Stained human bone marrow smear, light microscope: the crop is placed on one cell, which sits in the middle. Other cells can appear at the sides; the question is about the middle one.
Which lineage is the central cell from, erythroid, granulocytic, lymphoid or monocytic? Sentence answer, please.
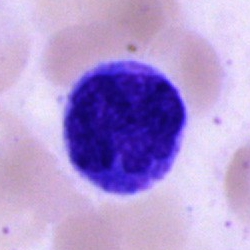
For the cell at the center, the lineage is monocytic.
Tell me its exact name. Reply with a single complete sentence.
Centrally within this crop lies a monocyte.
